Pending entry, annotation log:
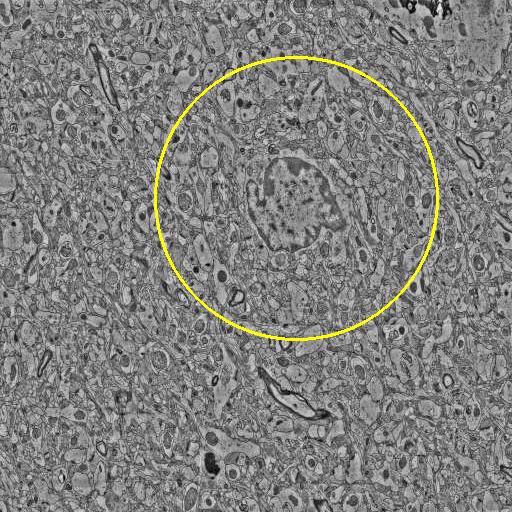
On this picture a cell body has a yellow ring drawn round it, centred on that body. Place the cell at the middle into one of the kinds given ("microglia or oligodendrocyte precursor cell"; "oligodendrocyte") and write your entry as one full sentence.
The cell body at the middle of the yellow ring belongs to a microglial cell or oligodendrocyte precursor cell.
